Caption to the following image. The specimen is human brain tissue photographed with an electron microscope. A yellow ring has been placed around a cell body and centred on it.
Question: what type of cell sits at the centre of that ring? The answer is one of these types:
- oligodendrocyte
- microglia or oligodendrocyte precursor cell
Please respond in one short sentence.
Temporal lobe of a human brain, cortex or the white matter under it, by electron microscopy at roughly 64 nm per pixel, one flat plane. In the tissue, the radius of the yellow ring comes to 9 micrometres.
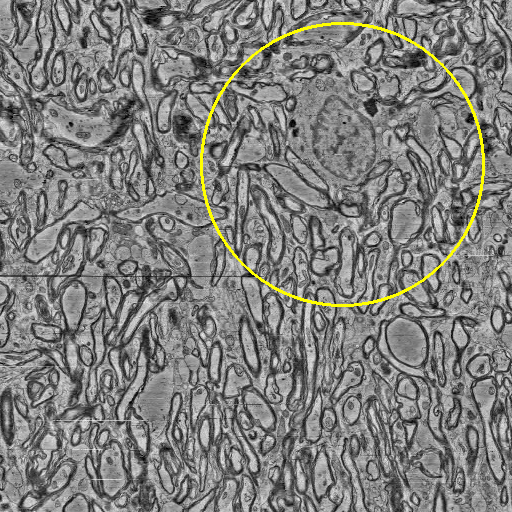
The ring surrounds the cell body of an oligodendrocyte.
